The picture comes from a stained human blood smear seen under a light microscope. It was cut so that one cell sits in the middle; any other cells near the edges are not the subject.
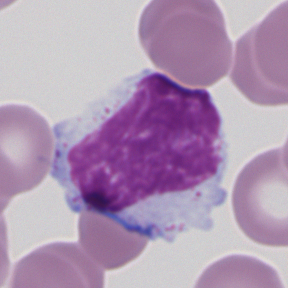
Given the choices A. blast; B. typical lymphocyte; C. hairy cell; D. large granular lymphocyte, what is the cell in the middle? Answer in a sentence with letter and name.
Option D is the correct one; it names the central cell as a large granular lymphocyte.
